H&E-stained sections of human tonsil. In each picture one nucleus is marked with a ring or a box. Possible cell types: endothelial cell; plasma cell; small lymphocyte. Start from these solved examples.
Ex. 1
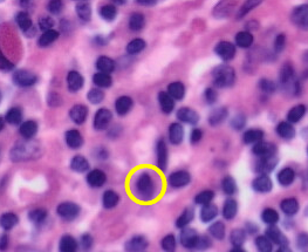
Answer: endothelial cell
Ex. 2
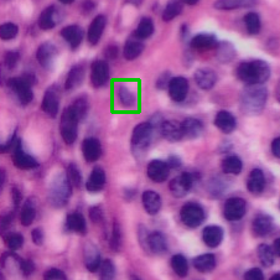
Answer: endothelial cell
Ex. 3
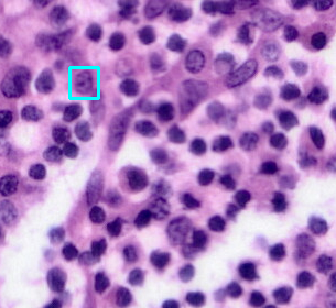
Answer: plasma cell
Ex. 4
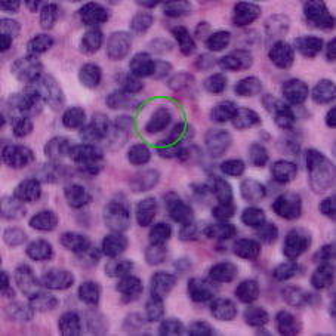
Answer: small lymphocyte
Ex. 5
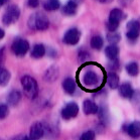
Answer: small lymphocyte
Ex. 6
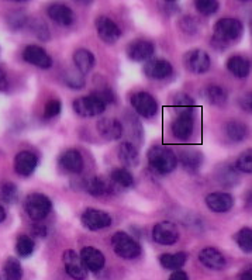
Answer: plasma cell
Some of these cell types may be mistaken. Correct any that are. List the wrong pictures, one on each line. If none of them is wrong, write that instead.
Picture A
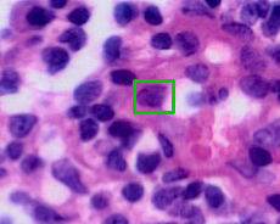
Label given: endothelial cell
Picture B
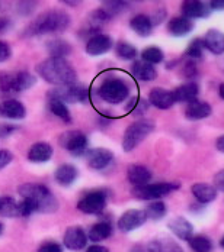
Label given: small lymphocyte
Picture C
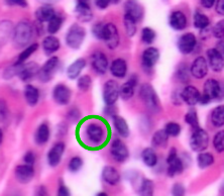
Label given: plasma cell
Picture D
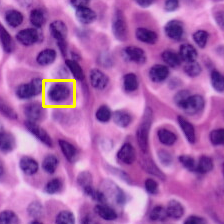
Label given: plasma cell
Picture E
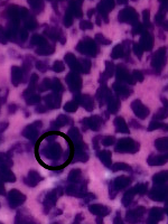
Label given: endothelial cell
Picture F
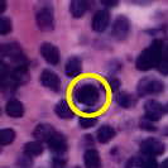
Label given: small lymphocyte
Wrong: E (endothelial cell); correct: small lymphocyte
